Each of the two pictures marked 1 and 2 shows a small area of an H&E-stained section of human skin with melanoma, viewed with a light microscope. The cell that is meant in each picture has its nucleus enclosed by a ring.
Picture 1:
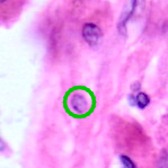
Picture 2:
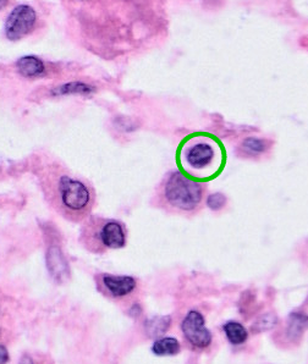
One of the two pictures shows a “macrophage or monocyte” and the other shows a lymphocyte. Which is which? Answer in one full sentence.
Picture 1 shows a “macrophage or monocyte” and picture 2 shows a lymphocyte.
